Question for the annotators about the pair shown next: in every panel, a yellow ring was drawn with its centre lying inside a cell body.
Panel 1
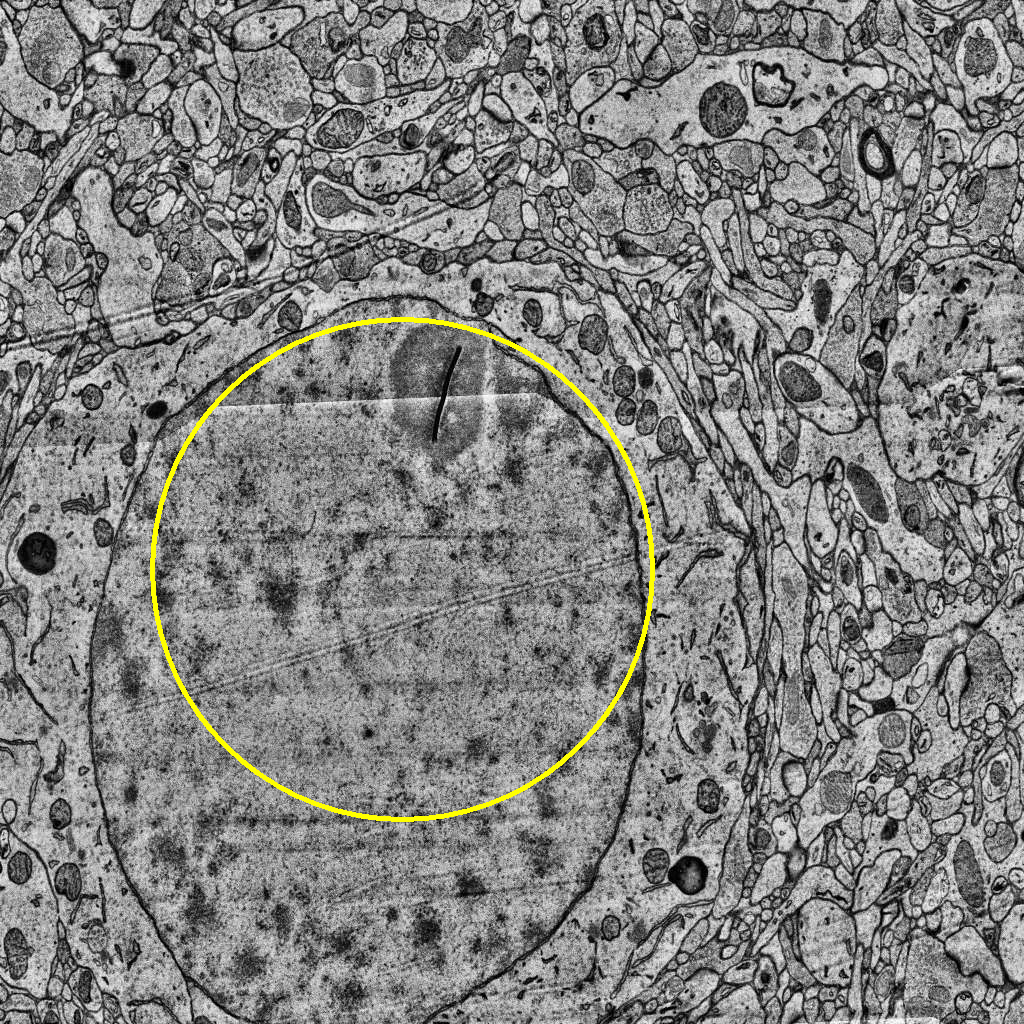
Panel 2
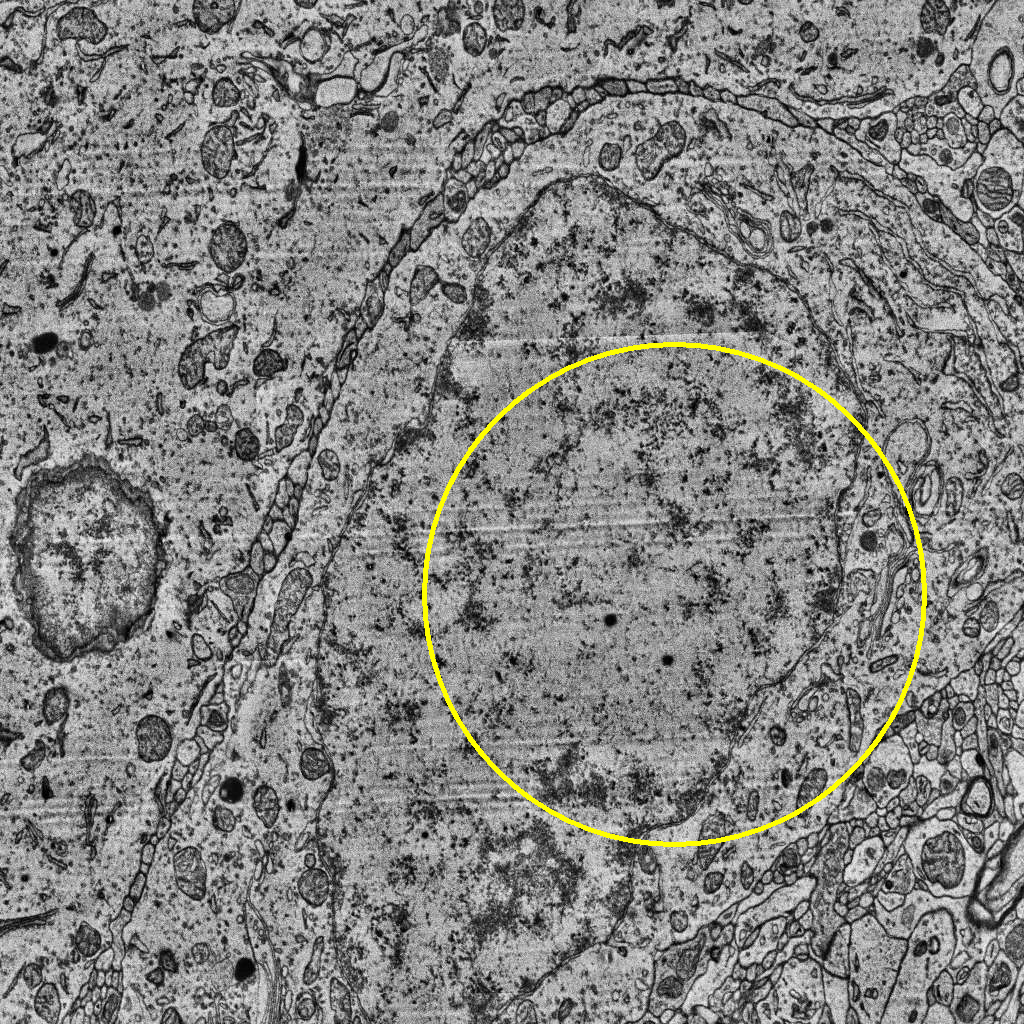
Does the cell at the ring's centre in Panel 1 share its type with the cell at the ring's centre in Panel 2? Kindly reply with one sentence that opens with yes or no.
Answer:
No, in Panels 1 and 2 the cells at the ring centres belong to separate types.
